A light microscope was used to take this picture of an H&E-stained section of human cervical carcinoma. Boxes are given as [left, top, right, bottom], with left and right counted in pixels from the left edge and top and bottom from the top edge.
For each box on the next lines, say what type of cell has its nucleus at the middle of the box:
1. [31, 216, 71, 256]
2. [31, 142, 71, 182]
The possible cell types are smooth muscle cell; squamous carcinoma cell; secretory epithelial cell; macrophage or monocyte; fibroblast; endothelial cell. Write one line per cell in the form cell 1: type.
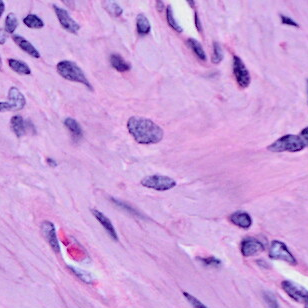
cell 1: endothelial cell
cell 2: fibroblast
